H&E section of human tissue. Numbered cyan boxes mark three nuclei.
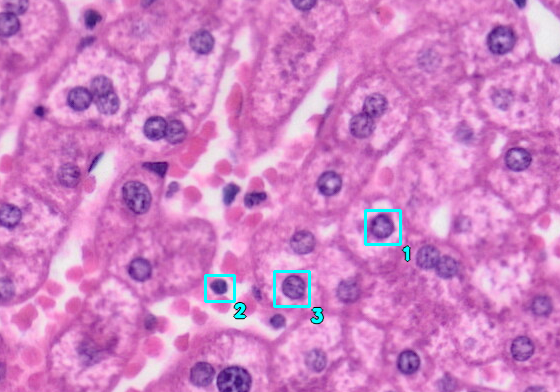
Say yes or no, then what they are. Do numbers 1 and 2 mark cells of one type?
No, listen: cell 1 is a hepatocyte and cell 2 is a lymphocyte.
